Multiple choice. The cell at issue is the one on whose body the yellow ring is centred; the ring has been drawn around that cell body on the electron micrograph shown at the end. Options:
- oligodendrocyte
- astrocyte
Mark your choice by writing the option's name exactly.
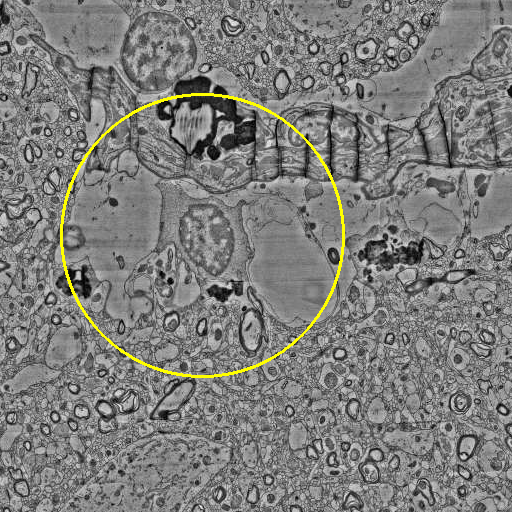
oligodendrocyte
